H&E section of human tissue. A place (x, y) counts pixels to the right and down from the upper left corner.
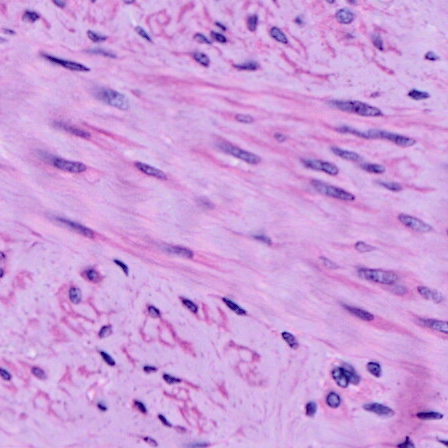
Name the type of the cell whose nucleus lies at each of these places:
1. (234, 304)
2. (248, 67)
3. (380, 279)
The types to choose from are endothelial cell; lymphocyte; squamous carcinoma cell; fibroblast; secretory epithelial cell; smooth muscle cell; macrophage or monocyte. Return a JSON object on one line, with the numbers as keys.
{"1": "fibroblast", "2": "smooth muscle cell", "3": "smooth muscle cell"}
